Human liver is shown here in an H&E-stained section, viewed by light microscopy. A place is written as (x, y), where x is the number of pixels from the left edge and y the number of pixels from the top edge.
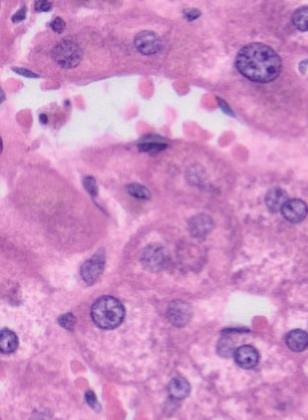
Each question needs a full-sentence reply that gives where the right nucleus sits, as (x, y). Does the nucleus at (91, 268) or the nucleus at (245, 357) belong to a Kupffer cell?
That would be the nucleus at (91, 268); it belongs to a Kupffer cell.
